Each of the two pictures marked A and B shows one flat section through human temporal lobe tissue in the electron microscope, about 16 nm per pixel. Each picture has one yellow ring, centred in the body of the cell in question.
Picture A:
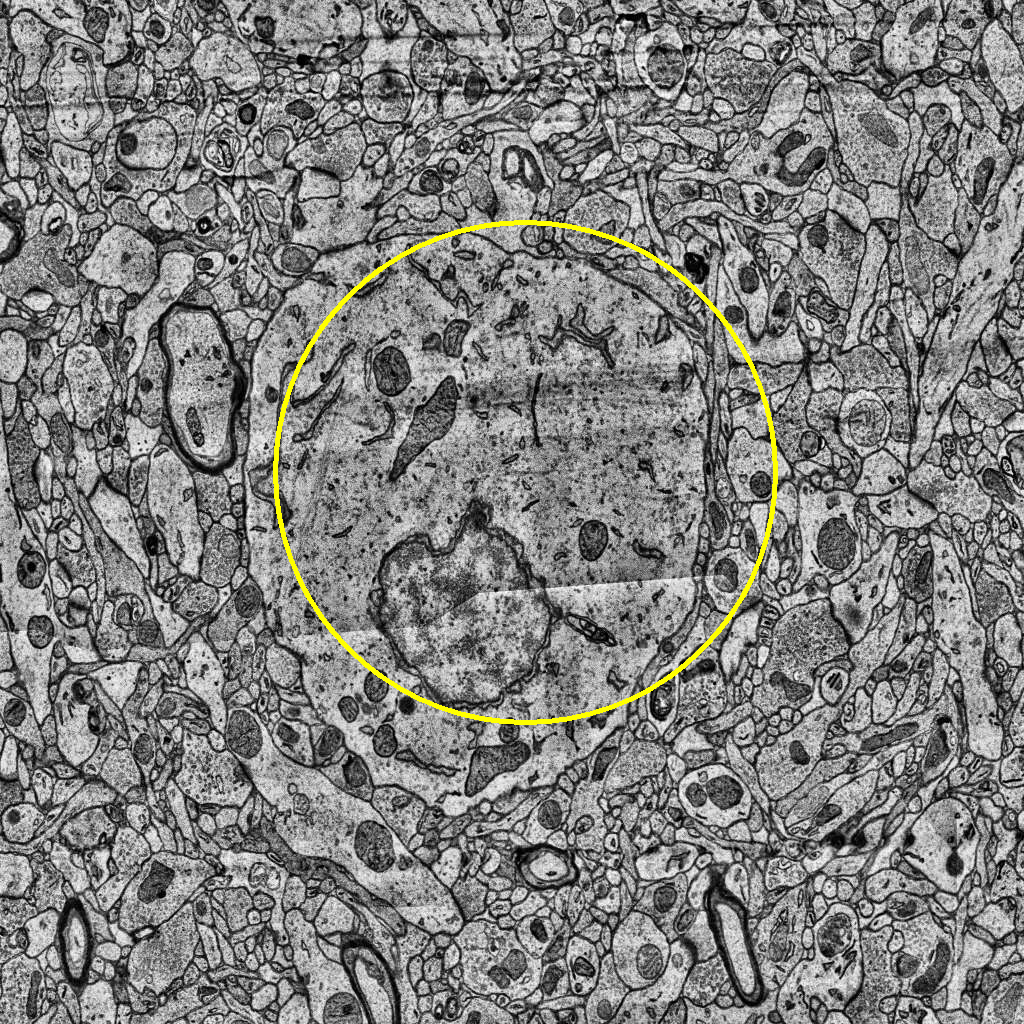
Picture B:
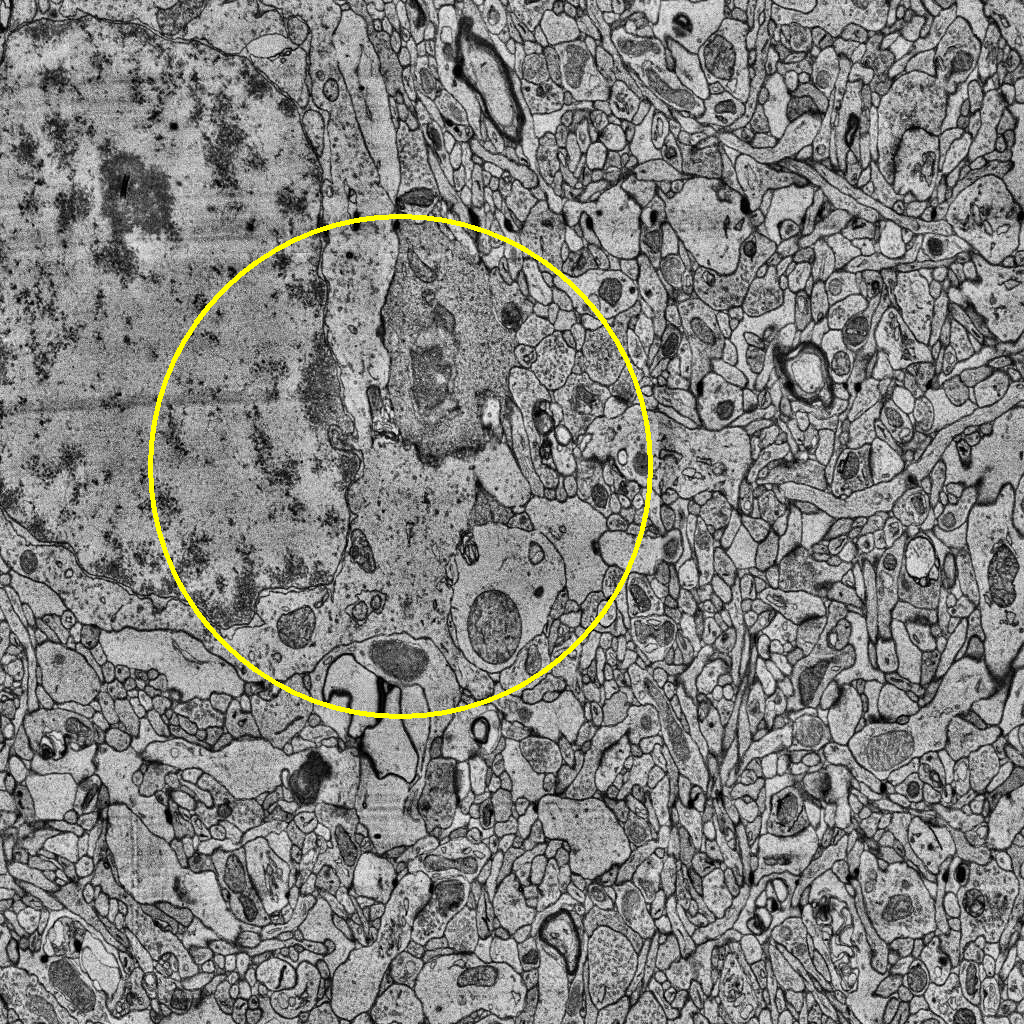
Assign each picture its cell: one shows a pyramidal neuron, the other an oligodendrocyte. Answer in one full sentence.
Picture A is of a pyramidal neuron, and picture B is of an oligodendrocyte.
